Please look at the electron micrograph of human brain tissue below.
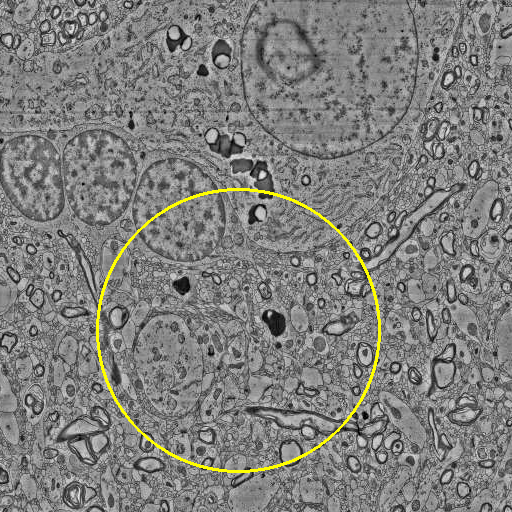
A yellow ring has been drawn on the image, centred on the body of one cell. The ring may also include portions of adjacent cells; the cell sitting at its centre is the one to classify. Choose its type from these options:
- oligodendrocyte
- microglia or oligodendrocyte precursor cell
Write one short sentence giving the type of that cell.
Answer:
The cell in the middle of the ring is a microglial cell or oligodendrocyte precursor cell.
